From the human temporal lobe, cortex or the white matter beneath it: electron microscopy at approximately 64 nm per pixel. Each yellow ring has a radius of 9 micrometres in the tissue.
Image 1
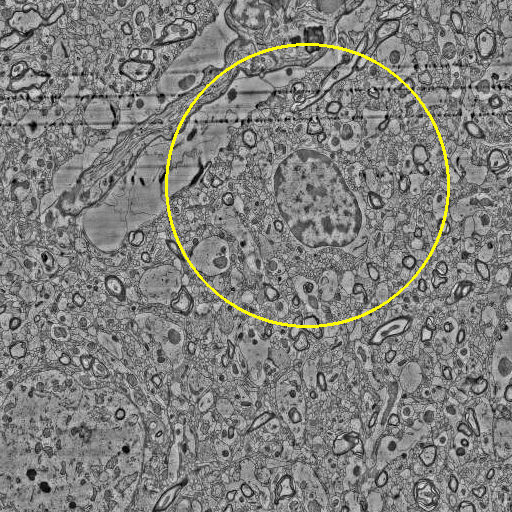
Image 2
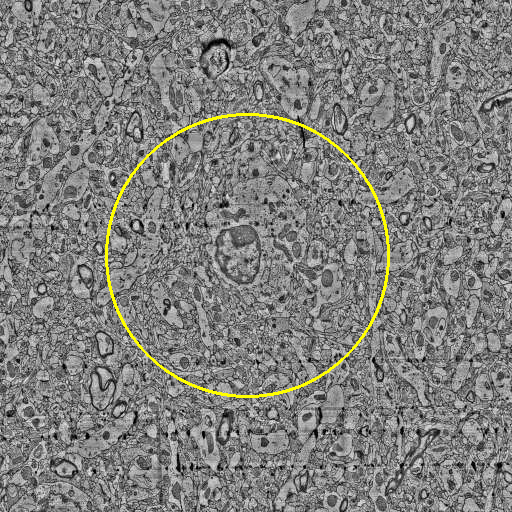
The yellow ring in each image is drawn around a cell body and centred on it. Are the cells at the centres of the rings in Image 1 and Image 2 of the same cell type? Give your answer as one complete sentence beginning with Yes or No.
Yes, both cells are of the same type.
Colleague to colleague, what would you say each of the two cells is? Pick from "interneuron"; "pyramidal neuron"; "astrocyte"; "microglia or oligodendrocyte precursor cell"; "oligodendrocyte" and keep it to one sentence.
Each of the two rings is centred on a microglial cell or oligodendrocyte precursor cell.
